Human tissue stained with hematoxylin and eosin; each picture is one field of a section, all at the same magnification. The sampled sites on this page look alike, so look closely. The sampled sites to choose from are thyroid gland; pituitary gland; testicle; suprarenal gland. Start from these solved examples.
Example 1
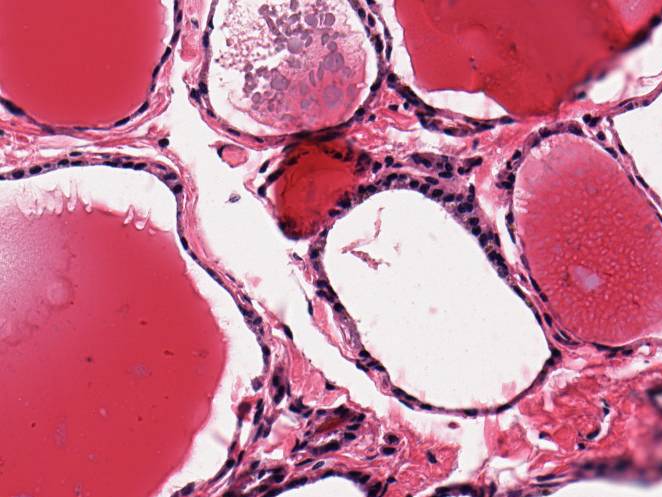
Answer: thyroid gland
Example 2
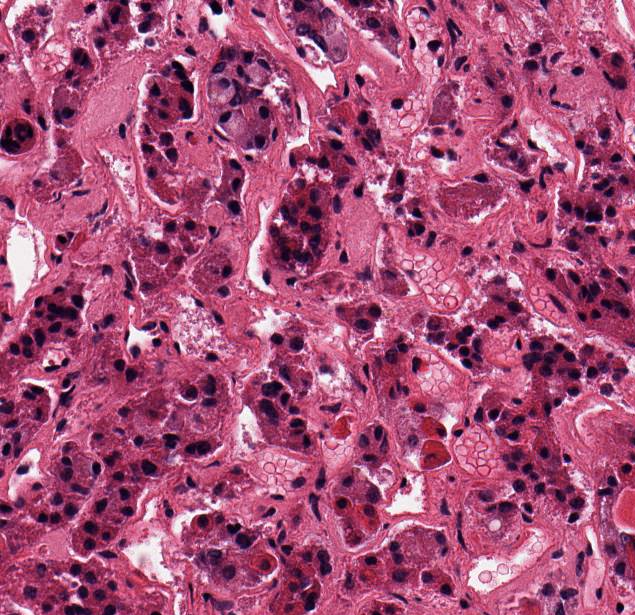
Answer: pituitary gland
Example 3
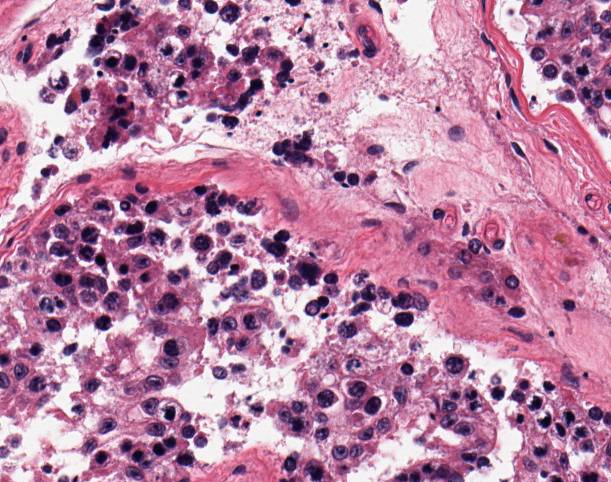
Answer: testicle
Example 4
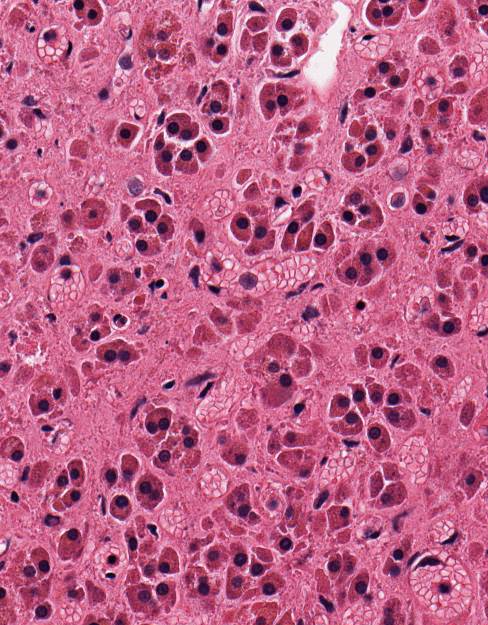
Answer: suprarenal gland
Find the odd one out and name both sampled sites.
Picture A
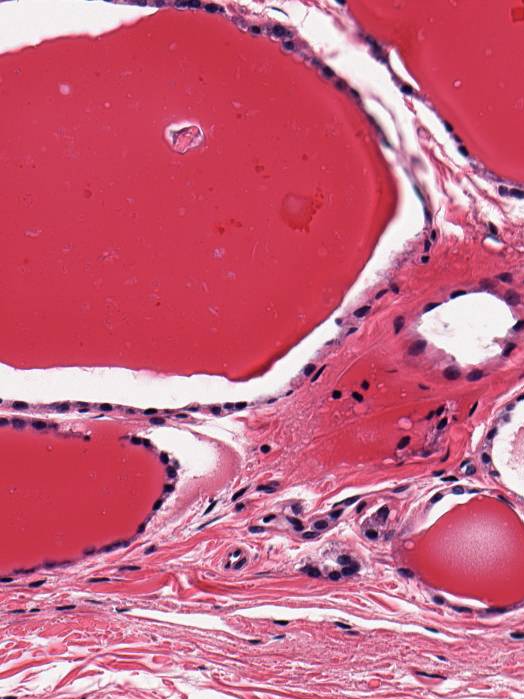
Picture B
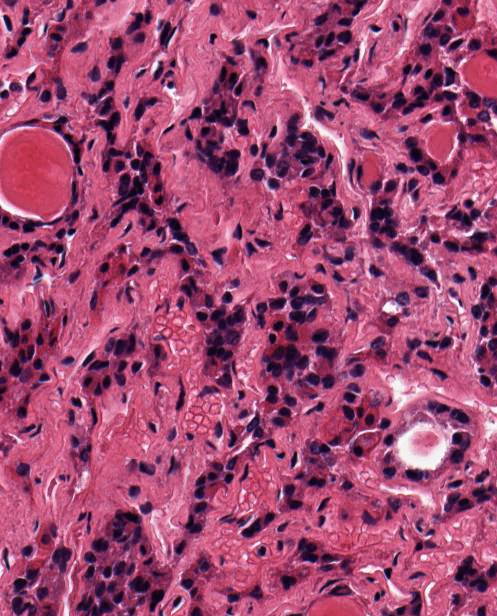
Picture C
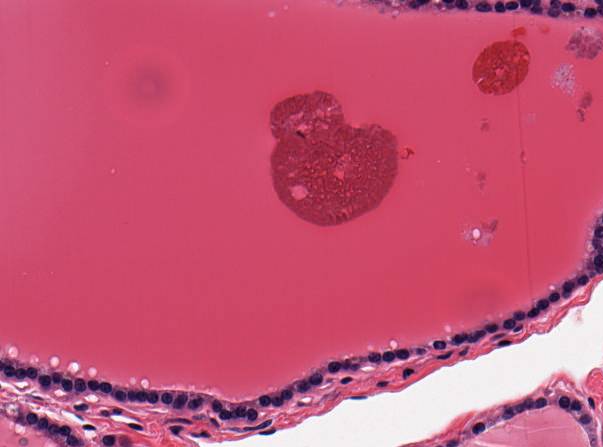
B: pituitary gland; all the others: thyroid gland.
